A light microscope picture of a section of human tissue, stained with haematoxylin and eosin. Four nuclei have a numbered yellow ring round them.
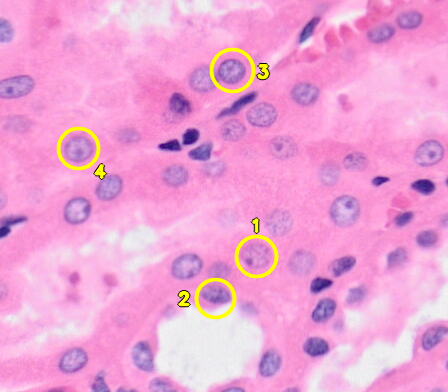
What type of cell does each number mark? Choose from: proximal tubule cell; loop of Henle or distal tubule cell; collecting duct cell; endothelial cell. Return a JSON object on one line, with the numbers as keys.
{"1": "proximal tubule cell", "2": "loop of Henle or distal tubule cell", "3": "proximal tubule cell", "4": "proximal tubule cell"}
